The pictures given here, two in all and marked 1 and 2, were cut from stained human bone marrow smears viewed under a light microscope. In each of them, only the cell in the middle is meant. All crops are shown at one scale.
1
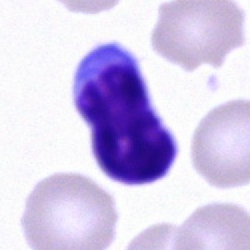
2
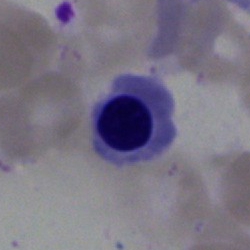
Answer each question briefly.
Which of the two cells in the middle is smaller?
2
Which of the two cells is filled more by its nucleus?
1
